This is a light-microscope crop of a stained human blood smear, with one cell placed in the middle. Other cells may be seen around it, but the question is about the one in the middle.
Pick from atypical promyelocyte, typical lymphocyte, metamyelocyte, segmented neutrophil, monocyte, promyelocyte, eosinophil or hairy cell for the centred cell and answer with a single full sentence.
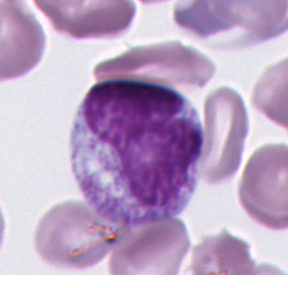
For this crop, the cell in the middle is a metamyelocyte.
